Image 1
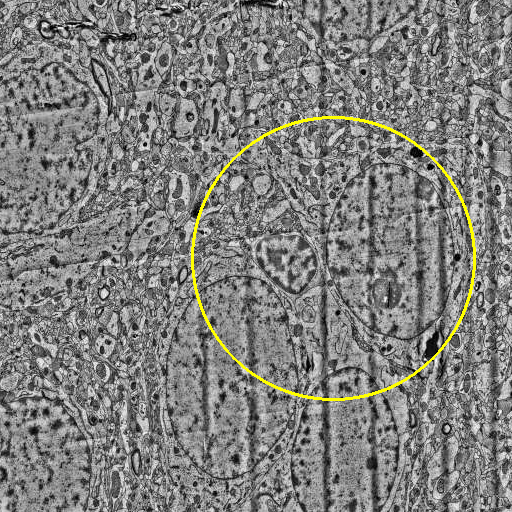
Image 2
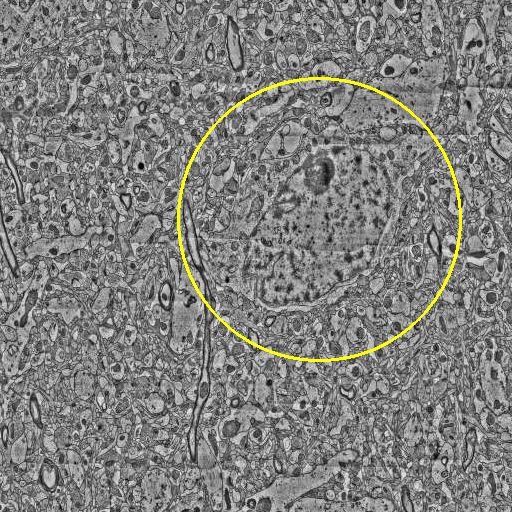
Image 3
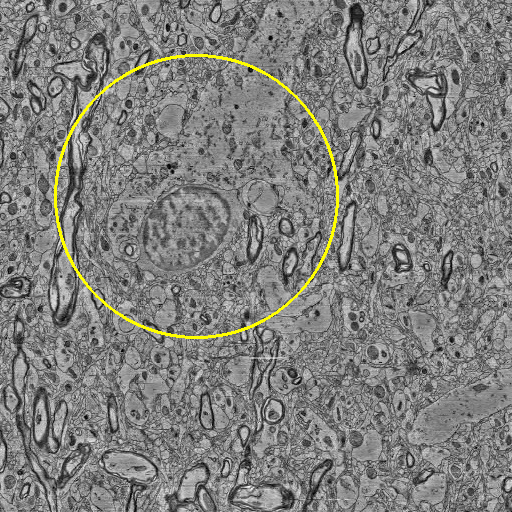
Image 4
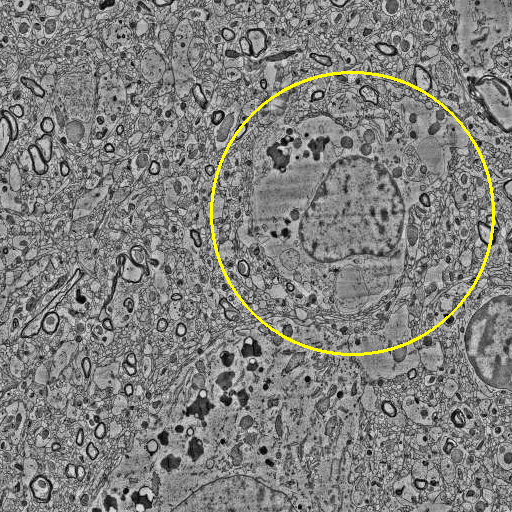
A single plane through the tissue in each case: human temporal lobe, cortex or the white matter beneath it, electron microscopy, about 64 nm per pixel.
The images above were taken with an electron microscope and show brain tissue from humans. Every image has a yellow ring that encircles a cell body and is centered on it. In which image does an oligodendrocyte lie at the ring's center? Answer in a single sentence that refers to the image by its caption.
In Image 3, the cell at the center of the yellow ring is the correct match.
